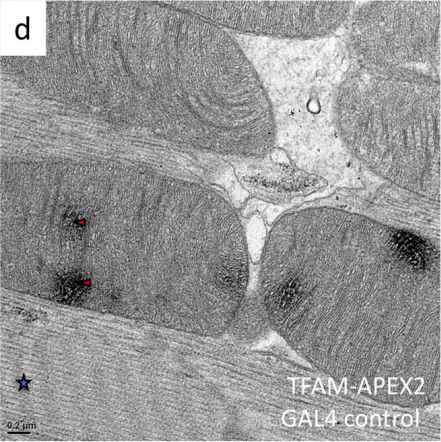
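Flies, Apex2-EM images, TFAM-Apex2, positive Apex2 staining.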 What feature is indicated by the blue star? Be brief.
Muscle fibers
